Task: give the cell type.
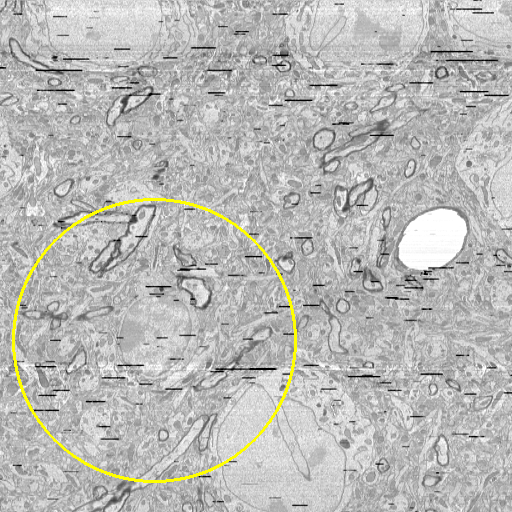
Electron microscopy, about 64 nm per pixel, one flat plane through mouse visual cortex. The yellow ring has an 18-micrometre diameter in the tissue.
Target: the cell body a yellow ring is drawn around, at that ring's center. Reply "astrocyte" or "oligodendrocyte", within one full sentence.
In this picture, the cell whose body lies at the ring's center is an oligodendrocyte.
